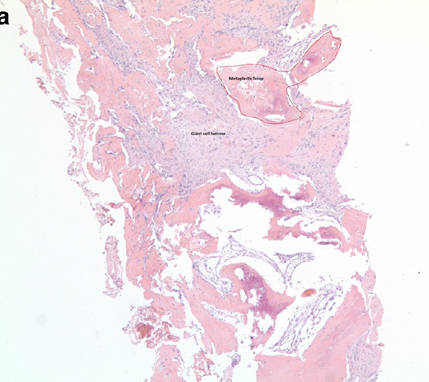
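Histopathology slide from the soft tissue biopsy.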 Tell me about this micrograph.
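The tumour is a moderately cellular purple-pink area in the upper middle of the field. Surrounding it are broad pink trabeculae and fragments of bony matrix. The lower part of the section contains irregular, torn pink bony fragments separated by clear spaces, with some darker purple-pink deposits.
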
